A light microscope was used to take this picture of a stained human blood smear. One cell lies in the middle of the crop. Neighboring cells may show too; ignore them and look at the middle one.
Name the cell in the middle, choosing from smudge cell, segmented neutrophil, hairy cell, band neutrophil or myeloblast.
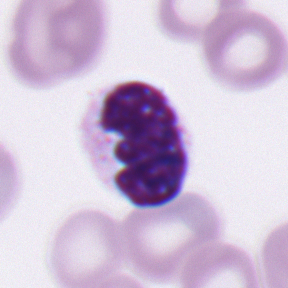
segmented neutrophil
